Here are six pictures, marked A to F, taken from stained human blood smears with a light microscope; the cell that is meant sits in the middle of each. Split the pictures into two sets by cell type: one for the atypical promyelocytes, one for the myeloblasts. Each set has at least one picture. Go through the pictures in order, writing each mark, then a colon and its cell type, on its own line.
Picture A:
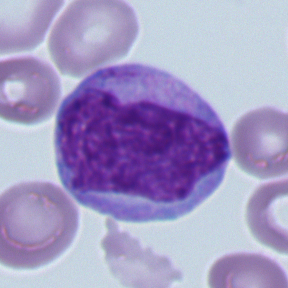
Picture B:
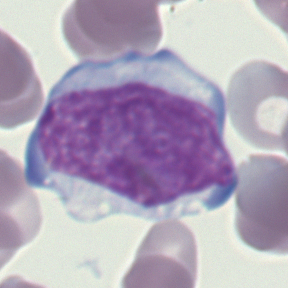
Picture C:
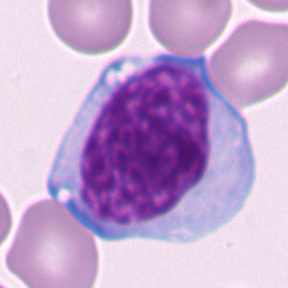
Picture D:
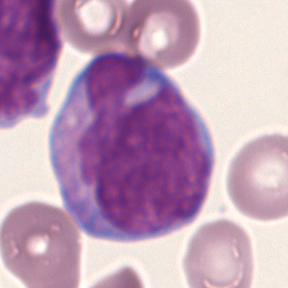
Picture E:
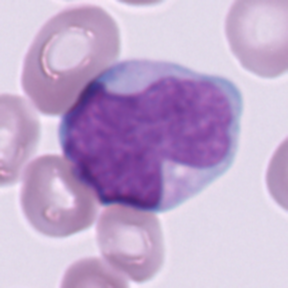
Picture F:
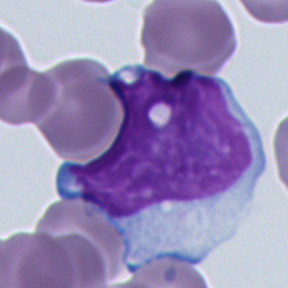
A: atypical promyelocyte
B: myeloblast
C: myeloblast
D: atypical promyelocyte
E: atypical promyelocyte
F: myeloblast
